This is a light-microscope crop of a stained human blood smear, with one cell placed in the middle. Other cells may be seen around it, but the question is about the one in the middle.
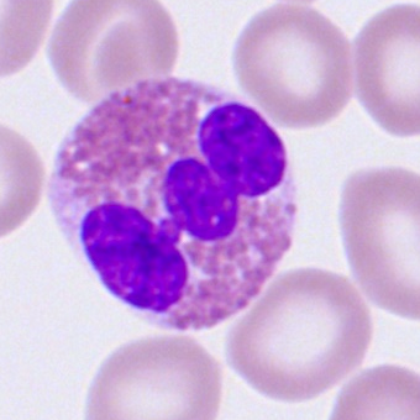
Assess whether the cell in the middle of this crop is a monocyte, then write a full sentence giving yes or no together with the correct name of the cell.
No, that would be an eosinophil, not a monocyte, for the cell at the centre.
